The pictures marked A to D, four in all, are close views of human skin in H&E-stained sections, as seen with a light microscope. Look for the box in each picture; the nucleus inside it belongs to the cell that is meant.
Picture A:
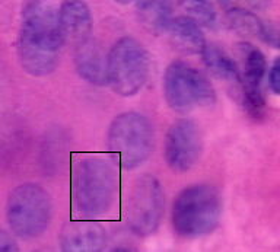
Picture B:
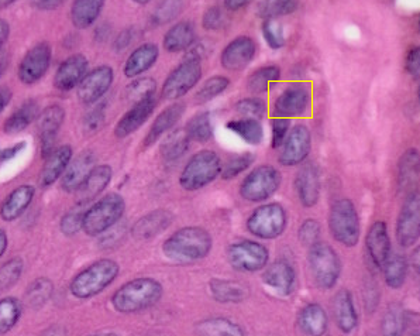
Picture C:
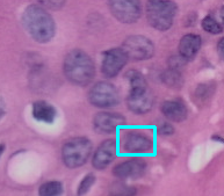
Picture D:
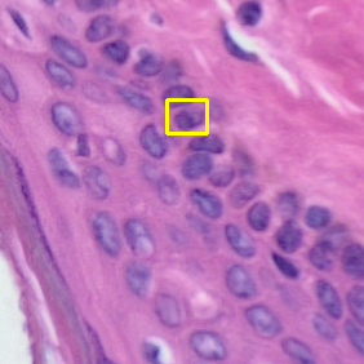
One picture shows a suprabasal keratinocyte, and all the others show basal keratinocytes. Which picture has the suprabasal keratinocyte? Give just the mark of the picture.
A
